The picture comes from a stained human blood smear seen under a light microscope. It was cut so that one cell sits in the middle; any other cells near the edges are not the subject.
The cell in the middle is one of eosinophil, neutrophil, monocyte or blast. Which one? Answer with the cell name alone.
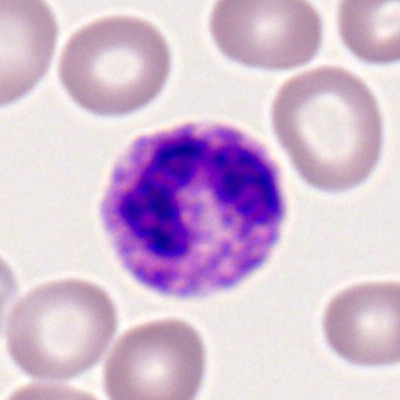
eosinophil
